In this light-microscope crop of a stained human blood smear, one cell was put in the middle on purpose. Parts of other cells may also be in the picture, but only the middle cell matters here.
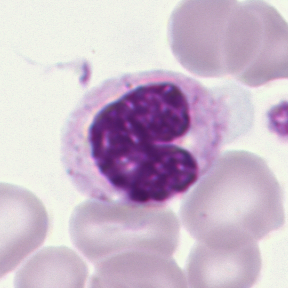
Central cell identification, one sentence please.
The middle of this crop is occupied by a band neutrophil.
